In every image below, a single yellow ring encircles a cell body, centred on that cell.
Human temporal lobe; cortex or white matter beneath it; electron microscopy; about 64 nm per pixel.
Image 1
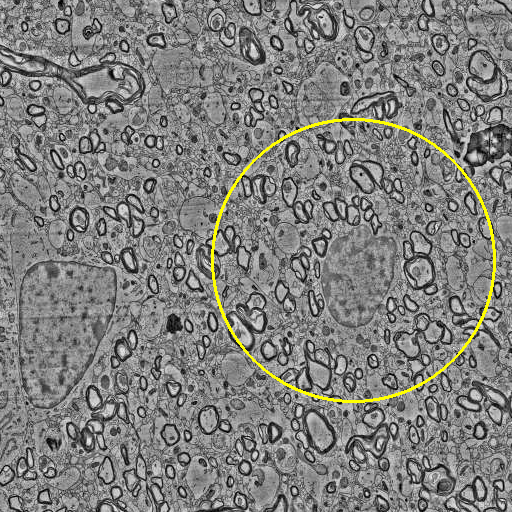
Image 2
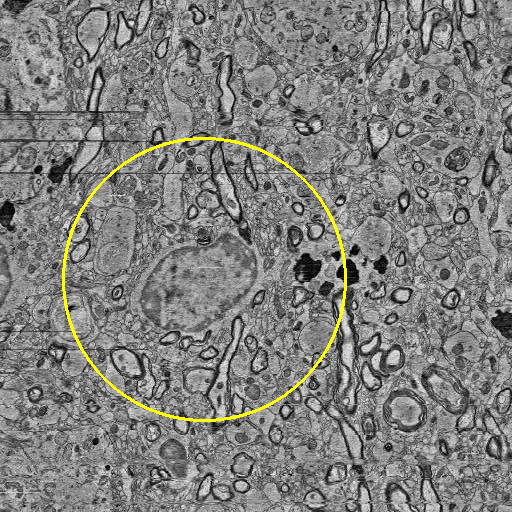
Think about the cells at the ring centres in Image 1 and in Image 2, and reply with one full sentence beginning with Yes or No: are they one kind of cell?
Yes, the cells centred in the rings of Image 1 and Image 2 are one kind of cell.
